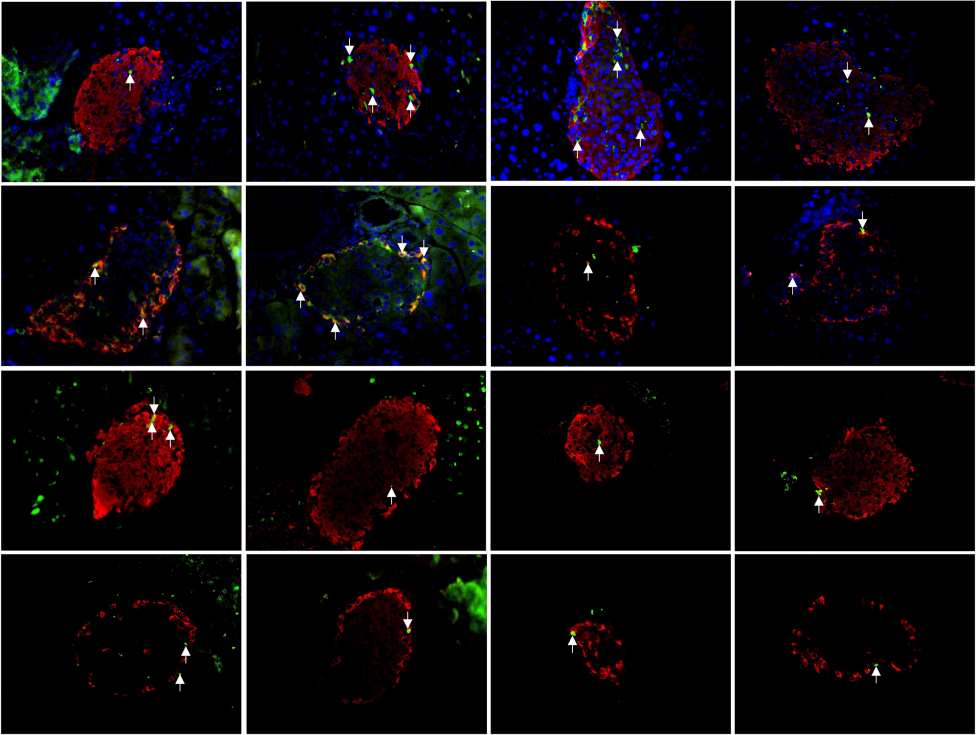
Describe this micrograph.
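A grid of sixteen fluorescence images of pancreatic islets, each a rounded cluster of endocrine cells. In the first and third rows, red fills the whole body of each islet as a dense mass of cells. In the second and fourth rows, red is confined mainly to a thin ring of cells along the islet edge, with a darker centre. In the top two rows, blue nuclei are scattered through the islets and the surrounding tissue. Small green nuclear spots lie within the islets, some overlapping red and appearing yellow, and white arrows point to them. Larger irregular green blotches appear outside some islets.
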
